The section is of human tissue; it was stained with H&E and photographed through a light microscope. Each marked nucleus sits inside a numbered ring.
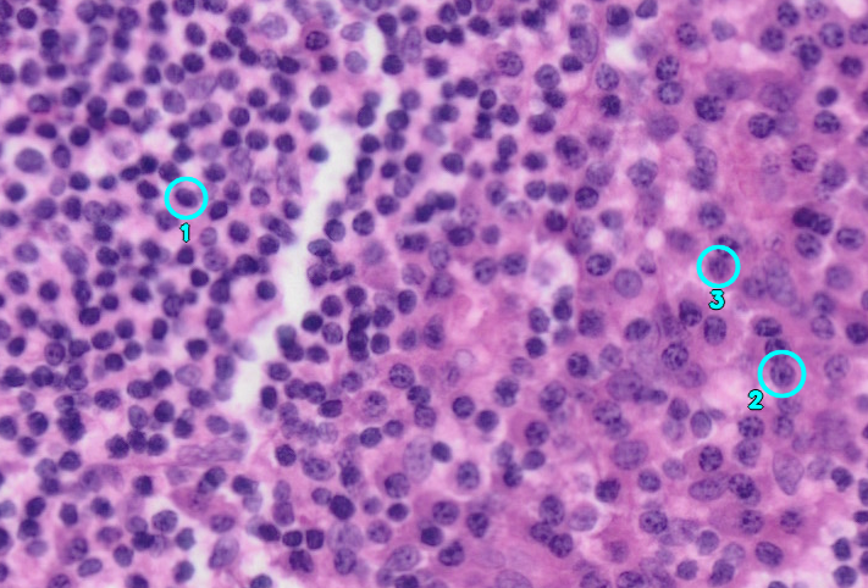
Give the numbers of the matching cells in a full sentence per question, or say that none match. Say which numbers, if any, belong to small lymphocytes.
Among the cells marked with numbers, the only one that is a small lymphocyte is number 1.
